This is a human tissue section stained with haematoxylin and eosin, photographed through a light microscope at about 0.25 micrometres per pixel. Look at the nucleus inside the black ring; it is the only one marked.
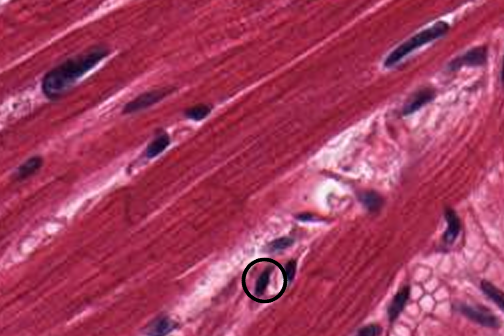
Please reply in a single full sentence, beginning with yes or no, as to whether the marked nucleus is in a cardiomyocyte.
No, the marked nucleus is carried by a supporting cell rather than by a cardiomyocyte.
